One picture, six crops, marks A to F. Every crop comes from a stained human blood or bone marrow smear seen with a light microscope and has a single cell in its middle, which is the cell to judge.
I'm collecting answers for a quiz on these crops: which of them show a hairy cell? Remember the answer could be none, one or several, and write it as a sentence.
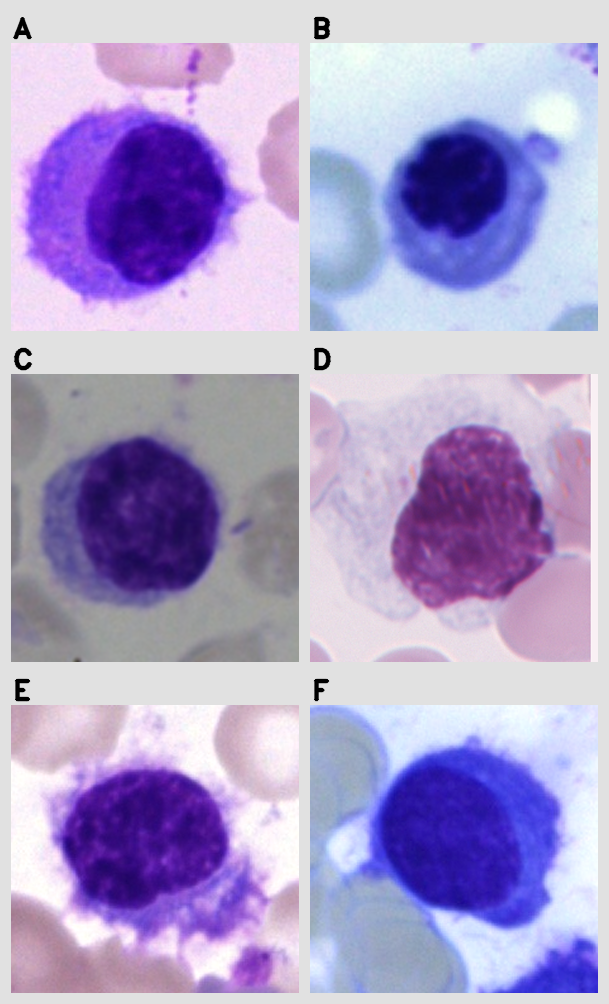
Crops A, C, D and E show hairy cells at their centres.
